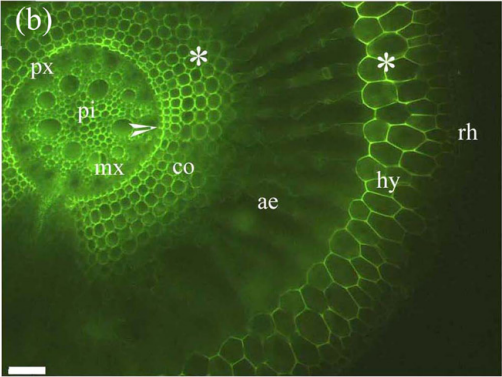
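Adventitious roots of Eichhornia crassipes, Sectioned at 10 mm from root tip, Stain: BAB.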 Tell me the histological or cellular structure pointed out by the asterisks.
lignified cortex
